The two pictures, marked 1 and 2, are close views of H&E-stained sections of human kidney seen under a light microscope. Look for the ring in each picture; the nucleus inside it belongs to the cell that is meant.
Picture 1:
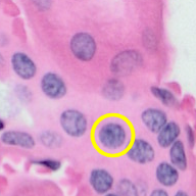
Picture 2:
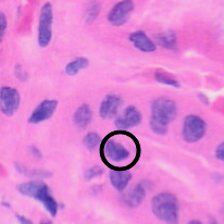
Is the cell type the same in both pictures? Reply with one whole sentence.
Yes; the cells in both pictures are collecting duct cells.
